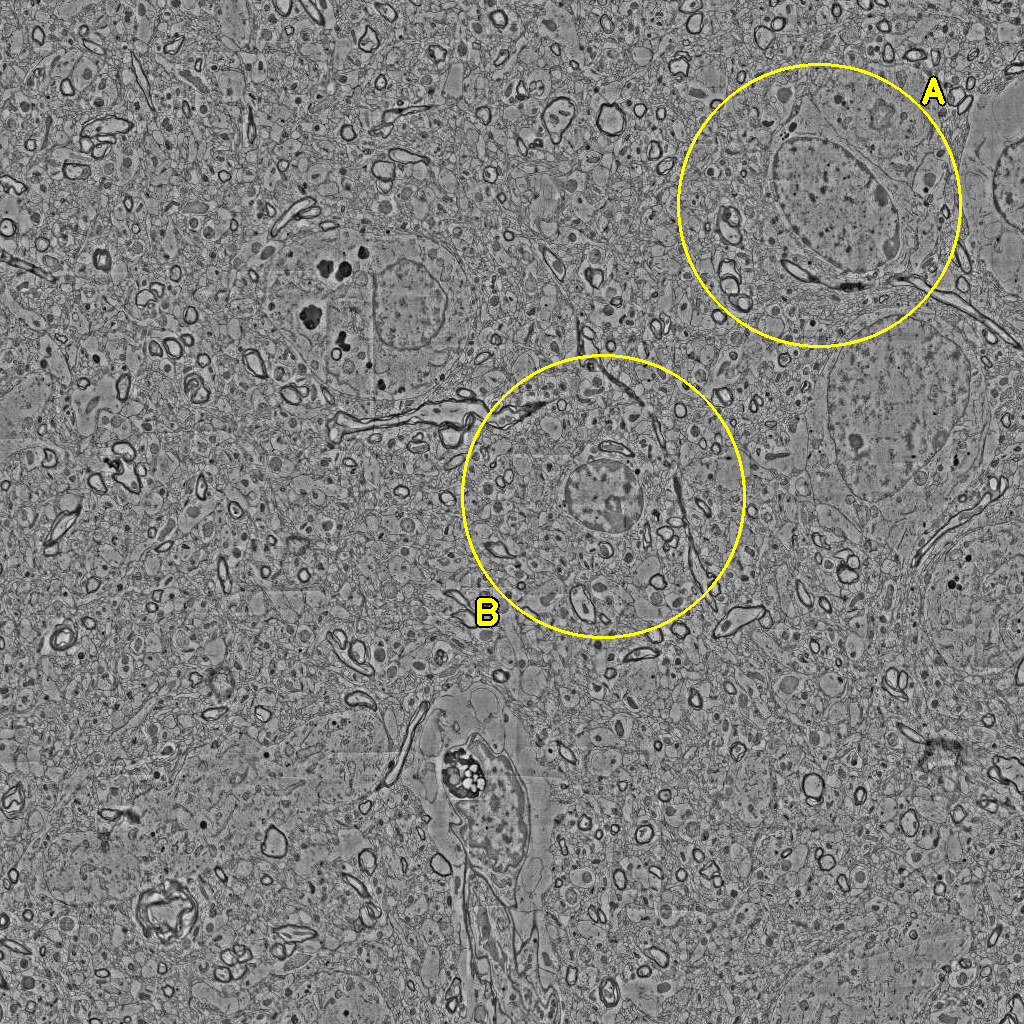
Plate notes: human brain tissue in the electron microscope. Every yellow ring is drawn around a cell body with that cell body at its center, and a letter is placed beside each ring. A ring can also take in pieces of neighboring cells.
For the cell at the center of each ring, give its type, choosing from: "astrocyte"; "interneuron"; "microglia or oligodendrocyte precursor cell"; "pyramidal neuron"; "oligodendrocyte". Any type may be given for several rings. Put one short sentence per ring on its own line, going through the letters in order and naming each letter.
Ring A shows a microglial cell or oligodendrocyte precursor cell at the center.
Ring B shows a microglial cell or oligodendrocyte precursor cell at the center.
